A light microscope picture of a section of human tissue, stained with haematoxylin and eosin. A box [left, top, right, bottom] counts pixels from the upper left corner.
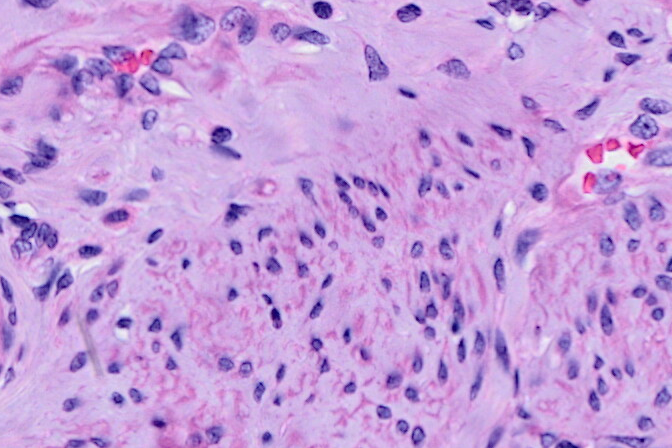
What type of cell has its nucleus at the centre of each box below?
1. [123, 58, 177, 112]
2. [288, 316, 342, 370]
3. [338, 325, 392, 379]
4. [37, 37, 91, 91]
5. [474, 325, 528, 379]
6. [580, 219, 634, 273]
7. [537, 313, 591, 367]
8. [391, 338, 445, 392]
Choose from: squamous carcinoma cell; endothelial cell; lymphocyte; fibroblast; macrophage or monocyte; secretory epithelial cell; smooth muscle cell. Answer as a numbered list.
1. endothelial cell
2. smooth muscle cell
3. smooth muscle cell
4. endothelial cell
5. fibroblast
6. smooth muscle cell
7. smooth muscle cell
8. smooth muscle cell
